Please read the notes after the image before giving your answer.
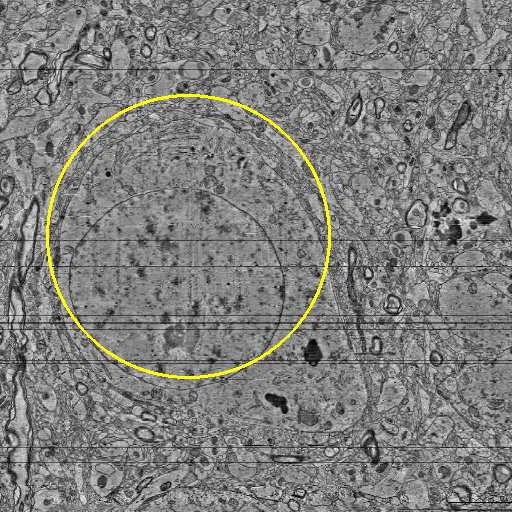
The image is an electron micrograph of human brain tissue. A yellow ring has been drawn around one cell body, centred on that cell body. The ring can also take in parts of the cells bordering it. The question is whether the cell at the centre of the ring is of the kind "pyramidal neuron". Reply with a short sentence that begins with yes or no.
Yes, the cell at the centre is of that kind.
